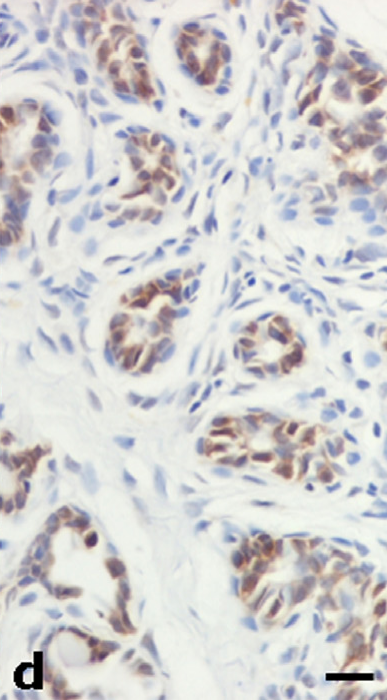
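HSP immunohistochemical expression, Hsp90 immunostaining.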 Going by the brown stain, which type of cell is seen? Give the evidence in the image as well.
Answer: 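Lobular cells. Brown stain is confined to the epithelial cells lining small clustered glands. Surrounding stromal cells have blue nuclei and are unstained.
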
